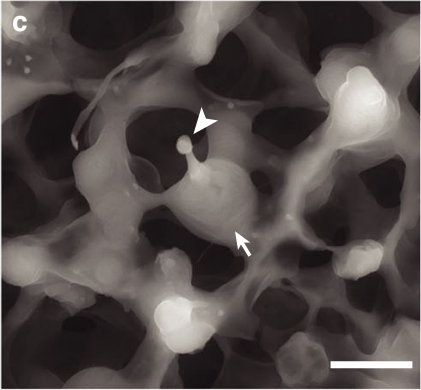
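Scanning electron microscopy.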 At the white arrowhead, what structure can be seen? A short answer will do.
immature spore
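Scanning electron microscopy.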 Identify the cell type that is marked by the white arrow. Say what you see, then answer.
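Basidium. The arrow points to a swollen club-shaped cell among a network of hyphae. A single small stalked body projects from its top.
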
